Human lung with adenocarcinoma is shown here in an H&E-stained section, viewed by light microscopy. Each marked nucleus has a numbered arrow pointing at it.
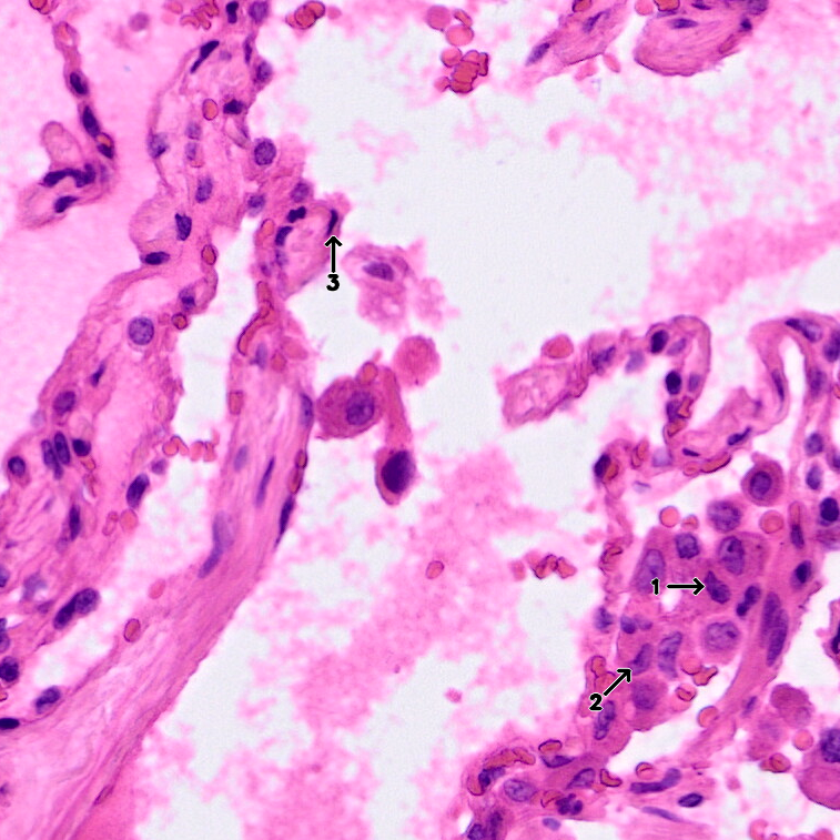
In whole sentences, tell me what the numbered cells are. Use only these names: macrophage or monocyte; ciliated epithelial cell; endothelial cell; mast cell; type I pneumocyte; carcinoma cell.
Cell 1 is a macrophage or monocyte, cell 2 is a macrophage or monocyte and cell 3 is an endothelial cell.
